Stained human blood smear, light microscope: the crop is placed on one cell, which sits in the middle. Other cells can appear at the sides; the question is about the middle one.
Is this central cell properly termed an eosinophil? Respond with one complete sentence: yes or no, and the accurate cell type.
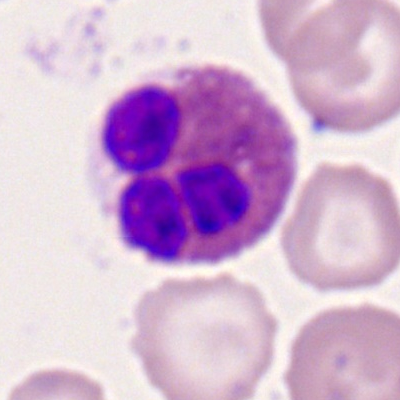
Yes, it is an eosinophil that lies in the middle.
